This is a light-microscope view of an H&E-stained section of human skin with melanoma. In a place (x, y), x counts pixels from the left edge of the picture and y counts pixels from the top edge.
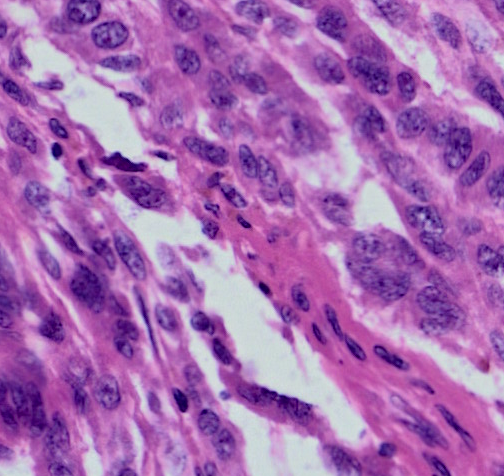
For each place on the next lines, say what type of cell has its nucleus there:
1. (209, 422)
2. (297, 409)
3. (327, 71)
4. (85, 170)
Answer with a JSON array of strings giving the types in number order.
["melanoma cell", "melanoma cell", "melanoma cell", "macrophage or monocyte"]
